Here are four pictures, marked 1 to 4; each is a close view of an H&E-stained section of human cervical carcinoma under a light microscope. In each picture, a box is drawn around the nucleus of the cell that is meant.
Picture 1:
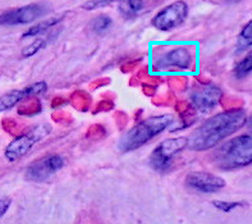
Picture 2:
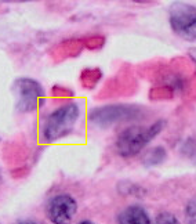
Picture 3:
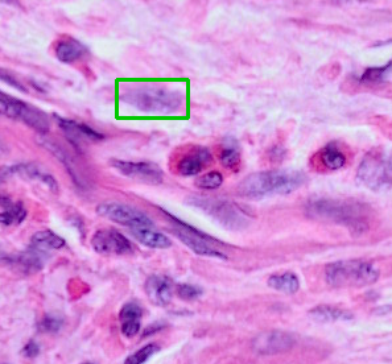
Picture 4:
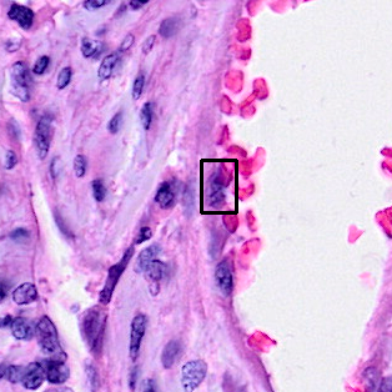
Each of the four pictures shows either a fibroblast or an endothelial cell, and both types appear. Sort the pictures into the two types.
1: endothelial cell
2: endothelial cell
3: fibroblast
4: endothelial cell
